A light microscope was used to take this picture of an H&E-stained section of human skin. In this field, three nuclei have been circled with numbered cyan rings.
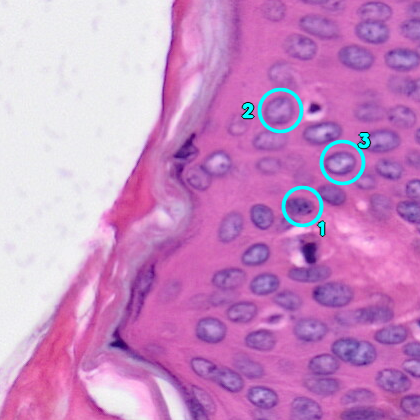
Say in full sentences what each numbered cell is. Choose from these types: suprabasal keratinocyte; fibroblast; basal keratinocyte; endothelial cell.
Cell 1 is a basal keratinocyte, cell 2 is a suprabasal keratinocyte and cell 3 is a suprabasal keratinocyte.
